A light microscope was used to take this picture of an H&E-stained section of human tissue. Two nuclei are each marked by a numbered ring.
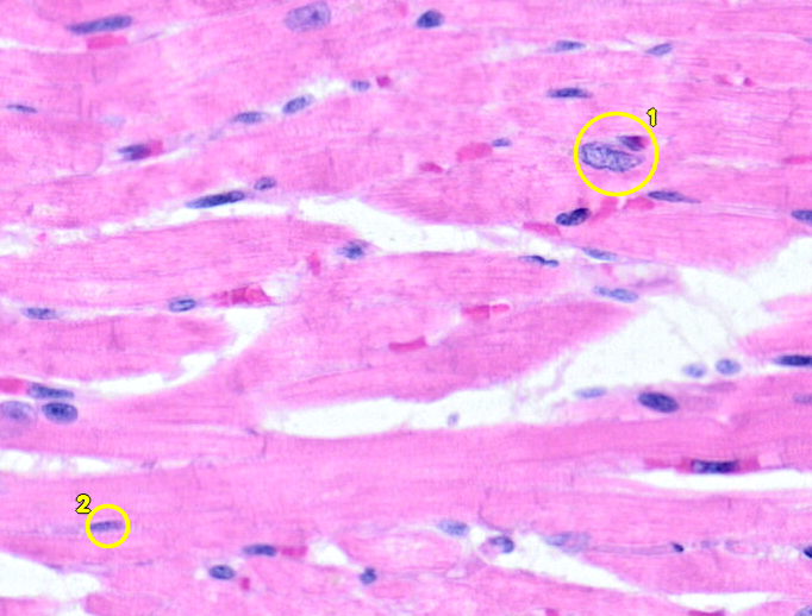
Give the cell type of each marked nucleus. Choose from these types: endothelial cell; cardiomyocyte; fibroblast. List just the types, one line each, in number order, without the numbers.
cardiomyocyte
endothelial cell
